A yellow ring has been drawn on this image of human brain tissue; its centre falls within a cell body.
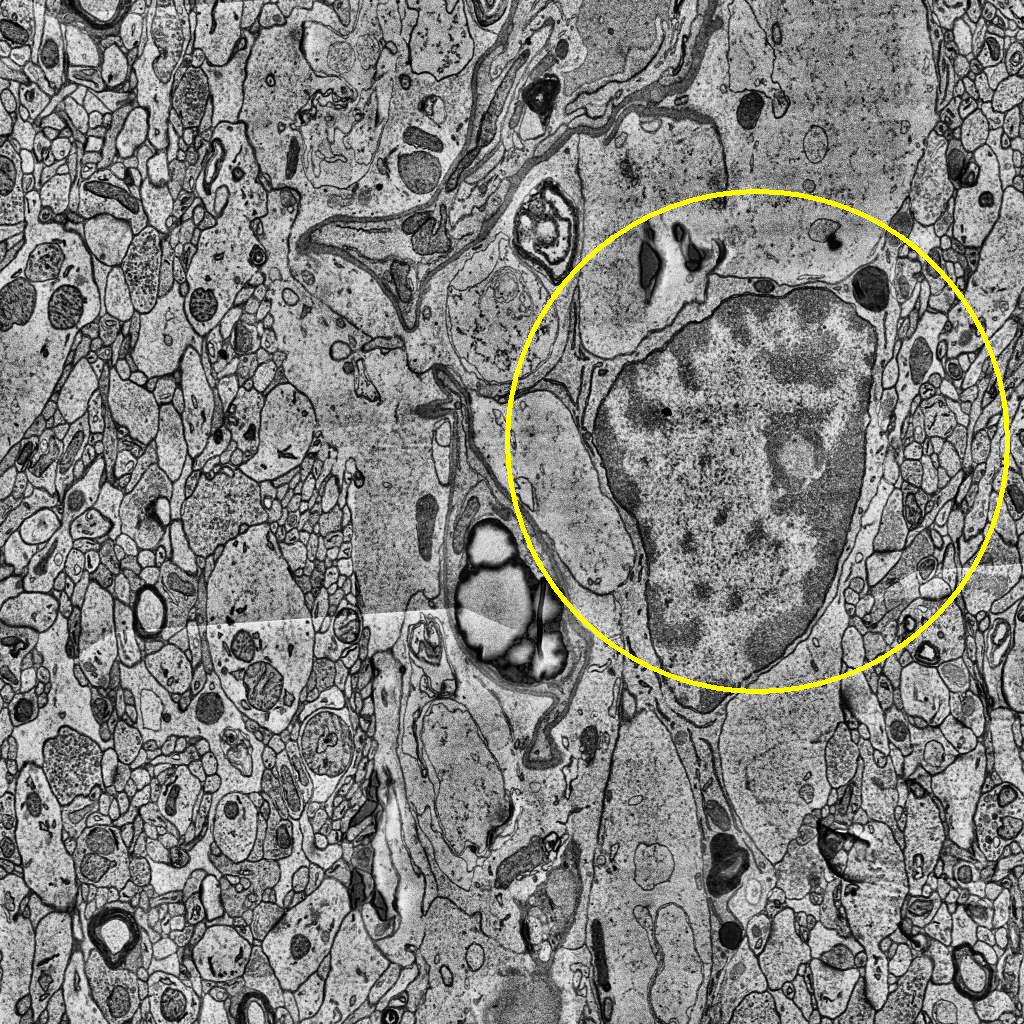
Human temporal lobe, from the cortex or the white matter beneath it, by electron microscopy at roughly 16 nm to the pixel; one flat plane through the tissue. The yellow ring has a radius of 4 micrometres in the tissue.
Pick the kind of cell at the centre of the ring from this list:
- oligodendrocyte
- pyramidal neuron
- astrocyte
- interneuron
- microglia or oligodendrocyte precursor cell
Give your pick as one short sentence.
The centre of the ring holds a microglial cell or oligodendrocyte precursor cell.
